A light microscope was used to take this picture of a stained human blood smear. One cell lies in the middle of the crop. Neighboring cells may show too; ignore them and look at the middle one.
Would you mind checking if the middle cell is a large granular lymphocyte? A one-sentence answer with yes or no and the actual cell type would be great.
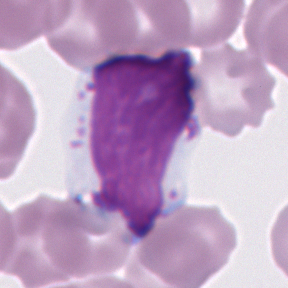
Yes, the cell occupying the middle of the crop is a large granular lymphocyte.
